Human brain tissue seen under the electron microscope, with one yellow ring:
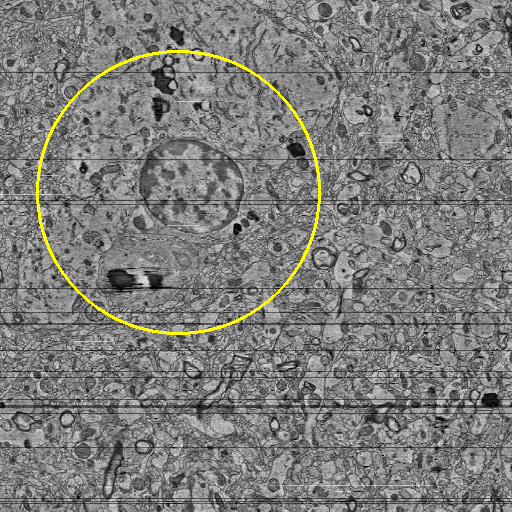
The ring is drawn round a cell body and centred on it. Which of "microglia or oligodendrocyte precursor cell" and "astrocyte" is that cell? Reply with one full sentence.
The picture shows a microglial cell or oligodendrocyte precursor cell at the very centre of the yellow ring.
